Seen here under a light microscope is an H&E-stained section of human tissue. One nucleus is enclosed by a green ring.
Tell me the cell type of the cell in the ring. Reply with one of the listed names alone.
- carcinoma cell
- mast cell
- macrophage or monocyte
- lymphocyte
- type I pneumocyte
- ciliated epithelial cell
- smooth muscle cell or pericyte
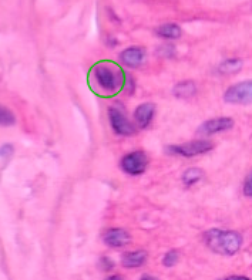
smooth muscle cell or pericyte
